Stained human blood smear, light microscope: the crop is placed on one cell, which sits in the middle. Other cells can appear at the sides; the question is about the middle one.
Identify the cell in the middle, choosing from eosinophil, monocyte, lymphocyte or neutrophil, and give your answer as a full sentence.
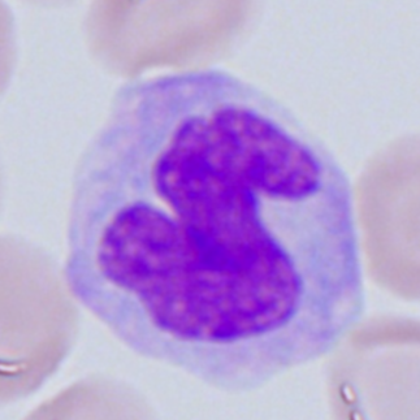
The cell at the centre of the field is a monocyte.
